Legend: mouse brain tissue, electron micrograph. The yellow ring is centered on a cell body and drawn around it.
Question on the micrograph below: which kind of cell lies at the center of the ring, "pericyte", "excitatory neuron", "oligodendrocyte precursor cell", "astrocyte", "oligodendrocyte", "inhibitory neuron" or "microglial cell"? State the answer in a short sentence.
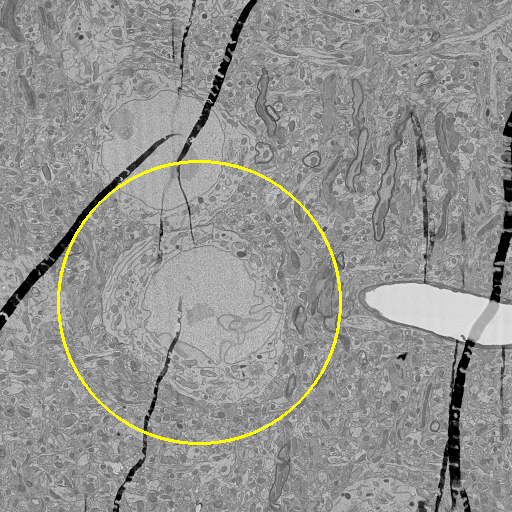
At the center of the ring lies an inhibitory neuron.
